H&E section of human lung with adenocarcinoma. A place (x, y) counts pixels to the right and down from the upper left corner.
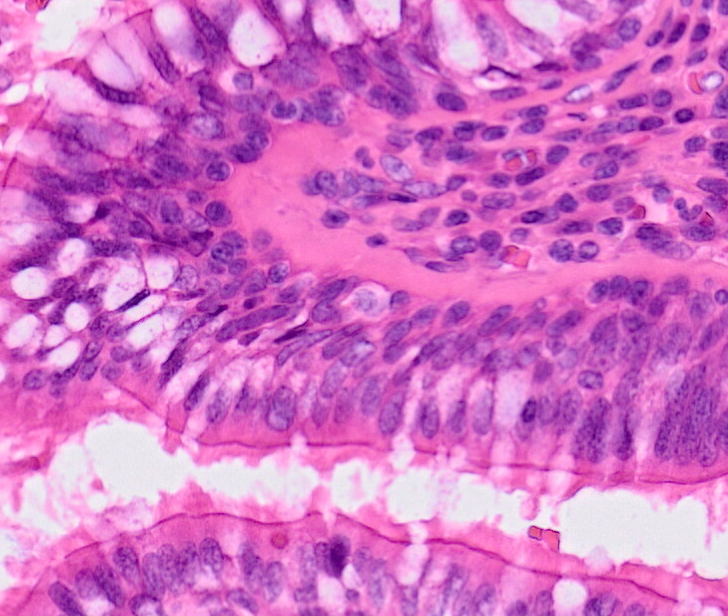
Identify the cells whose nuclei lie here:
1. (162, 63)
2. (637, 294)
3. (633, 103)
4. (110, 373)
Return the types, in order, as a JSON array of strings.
["ciliated epithelial cell", "ciliated epithelial cell", "plasma cell", "ciliated epithelial cell"]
